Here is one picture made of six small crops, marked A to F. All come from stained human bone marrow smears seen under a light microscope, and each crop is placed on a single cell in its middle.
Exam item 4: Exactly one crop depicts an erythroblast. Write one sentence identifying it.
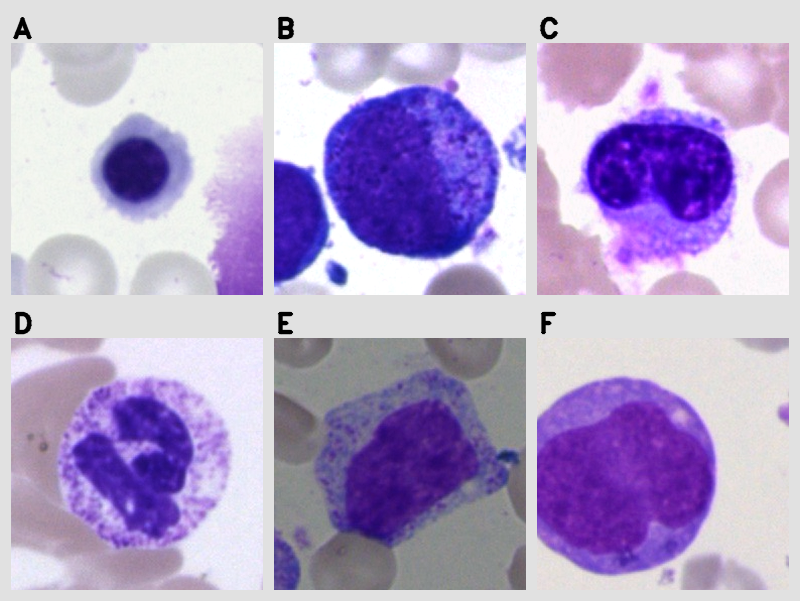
Identified crop: A, the one that shows an erythroblast.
